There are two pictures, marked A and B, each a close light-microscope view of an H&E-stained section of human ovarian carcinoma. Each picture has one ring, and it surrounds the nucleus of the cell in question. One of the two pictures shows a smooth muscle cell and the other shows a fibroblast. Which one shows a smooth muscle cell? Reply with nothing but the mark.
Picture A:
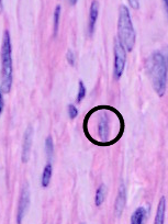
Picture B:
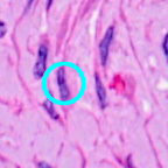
A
